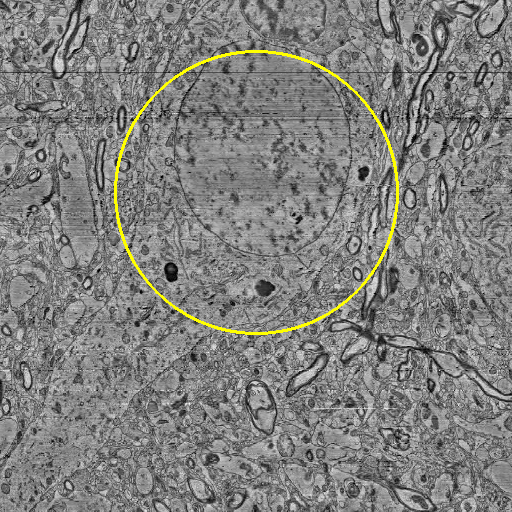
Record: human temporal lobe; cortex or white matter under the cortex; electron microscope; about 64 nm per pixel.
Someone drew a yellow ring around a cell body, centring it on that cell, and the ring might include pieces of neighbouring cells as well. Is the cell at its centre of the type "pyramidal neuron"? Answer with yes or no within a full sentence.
Yes, within the picture, the cell the ring is centred on qualifies as that type.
